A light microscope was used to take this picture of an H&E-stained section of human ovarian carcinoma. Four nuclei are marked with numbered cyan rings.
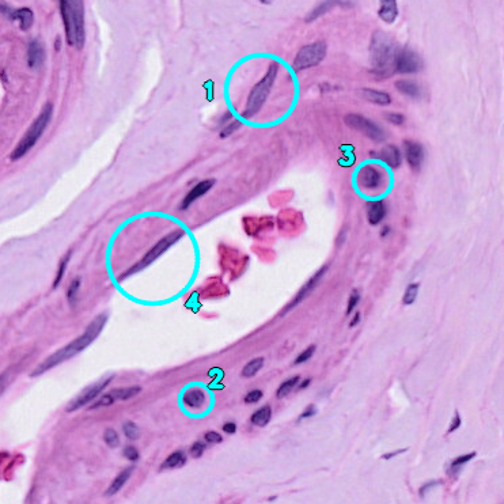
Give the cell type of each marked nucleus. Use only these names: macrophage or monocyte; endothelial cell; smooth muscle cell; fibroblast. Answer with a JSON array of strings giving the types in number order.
["smooth muscle cell", "smooth muscle cell", "smooth muscle cell", "endothelial cell"]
